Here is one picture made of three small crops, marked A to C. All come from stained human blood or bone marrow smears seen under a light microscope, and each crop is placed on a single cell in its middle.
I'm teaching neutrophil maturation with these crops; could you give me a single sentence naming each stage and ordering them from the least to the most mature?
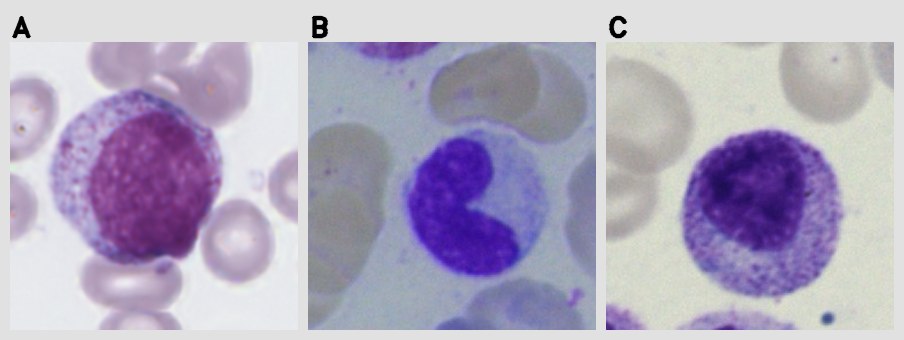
Ordered least to most mature, the series reads crop A (a promyelocyte), crop C (a myelocyte) and crop B (a band neutrophil).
